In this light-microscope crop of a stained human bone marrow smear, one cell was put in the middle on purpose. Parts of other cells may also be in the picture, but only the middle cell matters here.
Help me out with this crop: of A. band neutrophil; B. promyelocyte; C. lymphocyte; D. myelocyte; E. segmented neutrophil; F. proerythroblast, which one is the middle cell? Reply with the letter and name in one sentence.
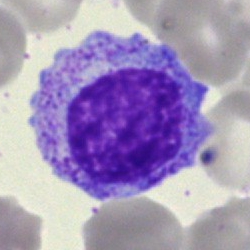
For this crop, option D is right, the centered cell being a myelocyte.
